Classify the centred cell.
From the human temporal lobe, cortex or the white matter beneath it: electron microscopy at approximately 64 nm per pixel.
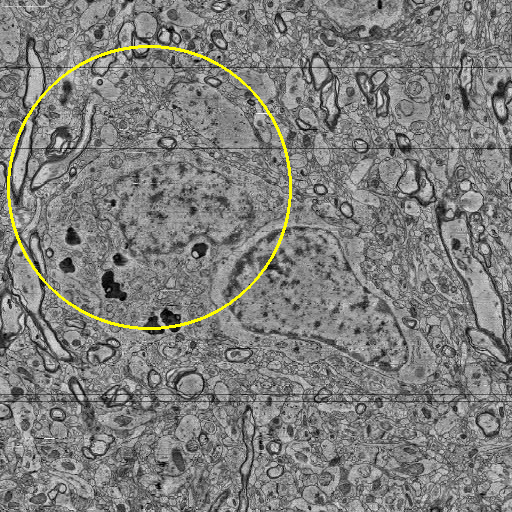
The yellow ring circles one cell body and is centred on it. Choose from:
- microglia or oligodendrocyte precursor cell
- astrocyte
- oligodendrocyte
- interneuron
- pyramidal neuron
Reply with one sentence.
The ring is centred on an interneuron.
